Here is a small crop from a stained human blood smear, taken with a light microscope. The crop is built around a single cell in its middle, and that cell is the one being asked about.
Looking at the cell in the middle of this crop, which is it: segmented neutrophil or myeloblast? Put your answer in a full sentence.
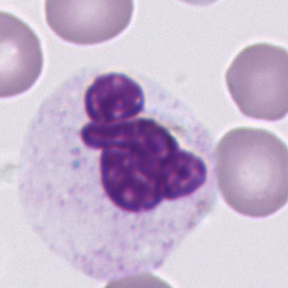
Seen at the centre of the crop is a segmented neutrophil.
